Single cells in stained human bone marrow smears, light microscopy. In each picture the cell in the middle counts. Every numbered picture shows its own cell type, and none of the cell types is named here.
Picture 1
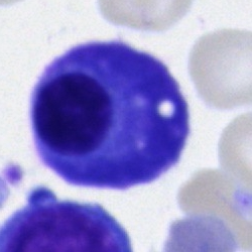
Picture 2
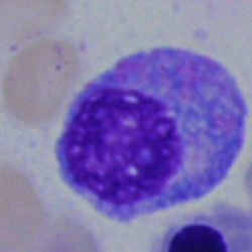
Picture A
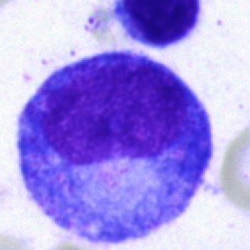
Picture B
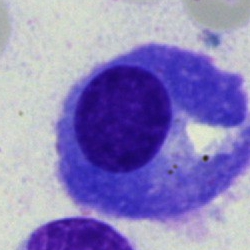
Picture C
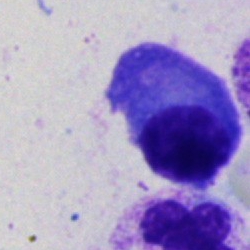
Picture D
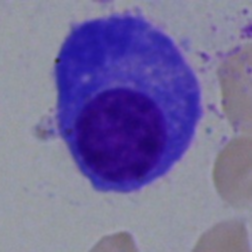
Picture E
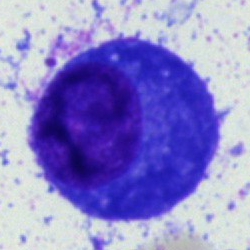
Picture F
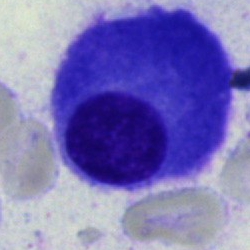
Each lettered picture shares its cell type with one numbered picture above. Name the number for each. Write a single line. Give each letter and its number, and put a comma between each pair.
A 2, B 1, C 1, D 1, E 1, F 1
